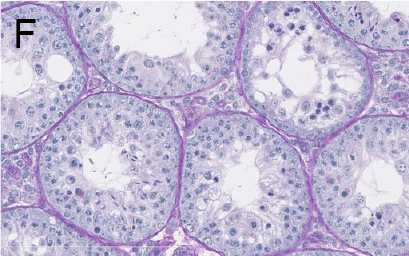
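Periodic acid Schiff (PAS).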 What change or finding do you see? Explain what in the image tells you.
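Vacuoles. A tubule at the upper right contains several large clear round holes within its epithelium. Another round clear space sits in the tubule at the upper left.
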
